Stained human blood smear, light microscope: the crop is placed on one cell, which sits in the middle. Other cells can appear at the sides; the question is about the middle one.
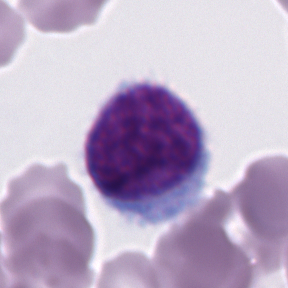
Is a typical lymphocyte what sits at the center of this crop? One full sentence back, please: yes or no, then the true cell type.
No, the centred cell is a hairy cell, and it is not a typical lymphocyte.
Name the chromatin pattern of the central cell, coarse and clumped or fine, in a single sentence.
Here the nuclear chromatin is coarsely clumped.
